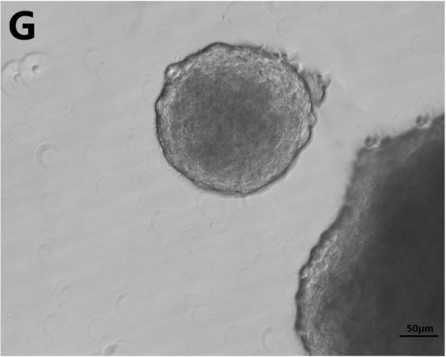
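At the lower right lies the edge of a much larger and darker cell mass. No flat, attached cells are spreading out from either structure.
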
